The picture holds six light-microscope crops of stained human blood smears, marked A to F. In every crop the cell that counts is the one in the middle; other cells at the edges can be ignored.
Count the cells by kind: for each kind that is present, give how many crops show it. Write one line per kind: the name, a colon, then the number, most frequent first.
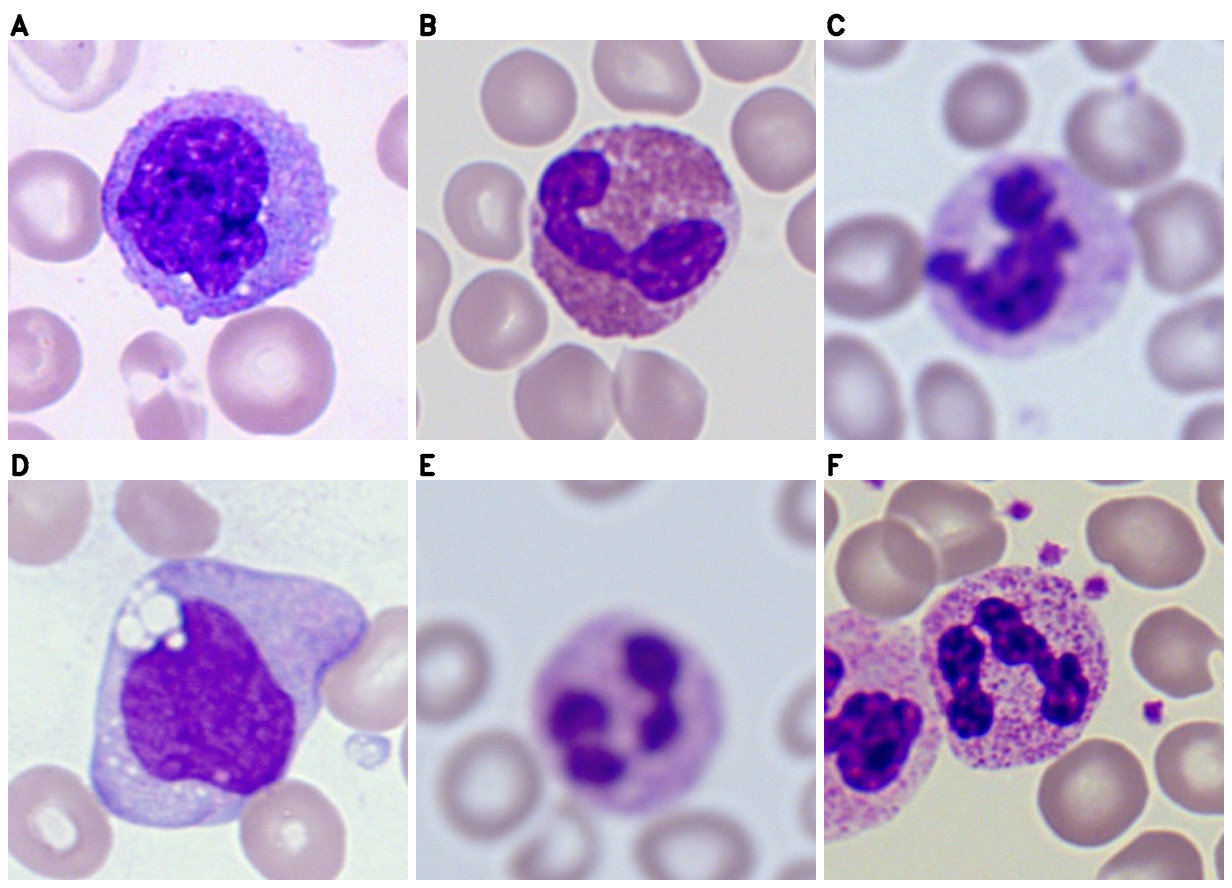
segmented neutrophil: 3
monocyte: 2
eosinophil: 1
